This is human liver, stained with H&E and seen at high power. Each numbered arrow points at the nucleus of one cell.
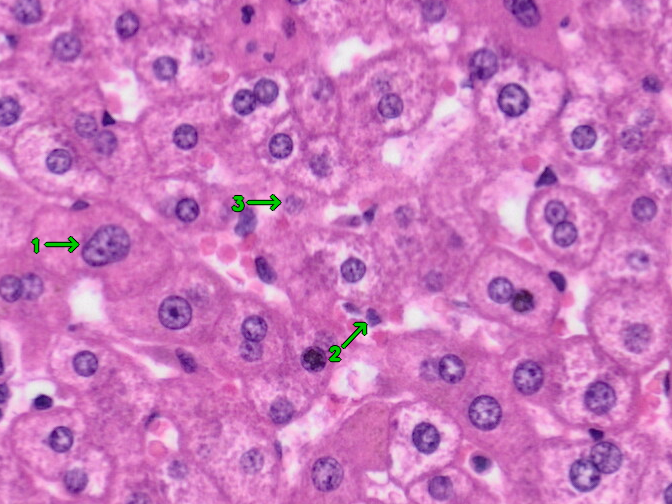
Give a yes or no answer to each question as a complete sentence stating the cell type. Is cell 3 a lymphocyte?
No, number 3 belongs to a hepatocyte, not to a lymphocyte.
